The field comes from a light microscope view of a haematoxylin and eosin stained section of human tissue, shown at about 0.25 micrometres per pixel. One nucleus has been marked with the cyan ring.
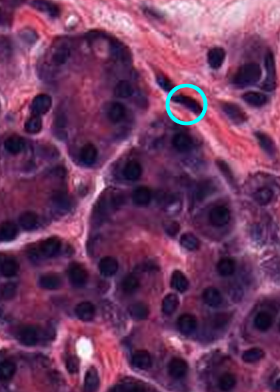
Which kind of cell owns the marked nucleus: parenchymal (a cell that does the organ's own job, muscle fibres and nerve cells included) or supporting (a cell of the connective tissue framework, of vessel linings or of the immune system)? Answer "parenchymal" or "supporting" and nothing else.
supporting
